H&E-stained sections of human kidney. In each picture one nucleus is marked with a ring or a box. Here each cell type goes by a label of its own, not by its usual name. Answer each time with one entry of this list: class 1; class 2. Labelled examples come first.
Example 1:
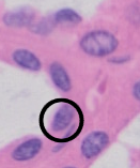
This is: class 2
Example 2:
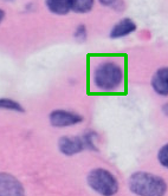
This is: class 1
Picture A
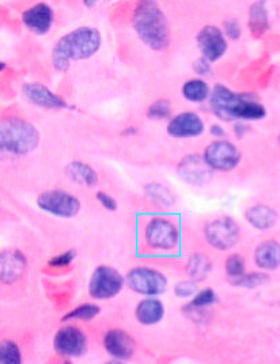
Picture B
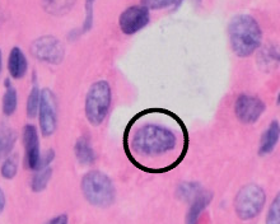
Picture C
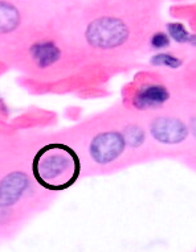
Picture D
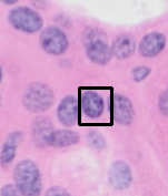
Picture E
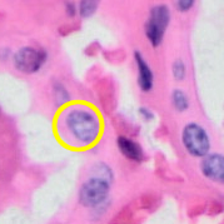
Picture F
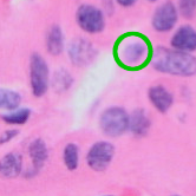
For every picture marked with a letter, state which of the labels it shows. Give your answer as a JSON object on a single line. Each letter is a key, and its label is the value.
{"A": "class 2", "B": "class 2", "C": "class 1", "D": "class 1", "E": "class 1", "F": "class 1"}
